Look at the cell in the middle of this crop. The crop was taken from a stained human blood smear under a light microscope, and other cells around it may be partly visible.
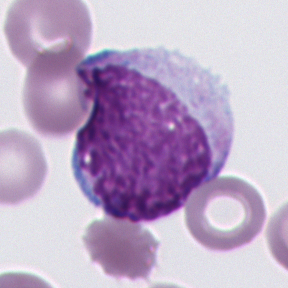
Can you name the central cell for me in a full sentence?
The cell centered in this field of view is an atypical promyelocyte.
